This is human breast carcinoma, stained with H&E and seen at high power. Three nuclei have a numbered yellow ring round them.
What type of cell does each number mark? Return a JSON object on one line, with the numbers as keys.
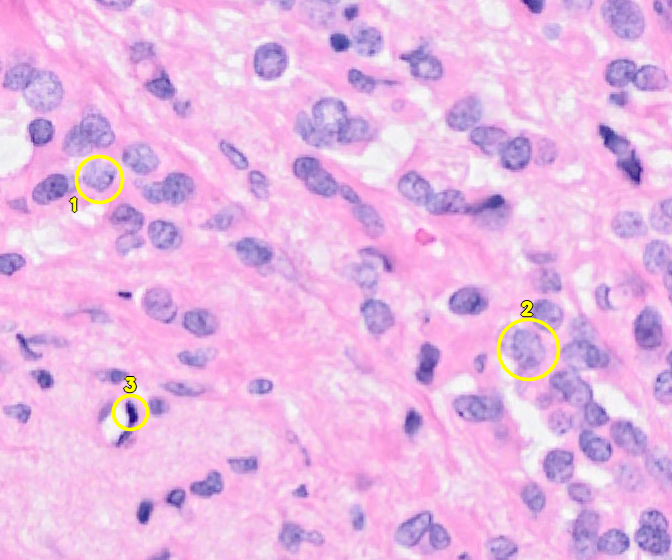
{"1": "carcinoma cell", "2": "carcinoma cell", "3": "endothelial cell"}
